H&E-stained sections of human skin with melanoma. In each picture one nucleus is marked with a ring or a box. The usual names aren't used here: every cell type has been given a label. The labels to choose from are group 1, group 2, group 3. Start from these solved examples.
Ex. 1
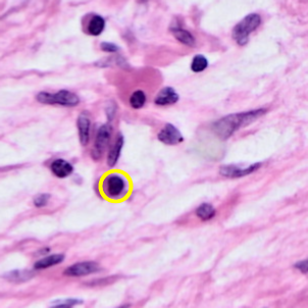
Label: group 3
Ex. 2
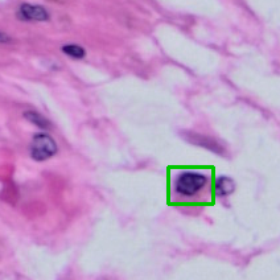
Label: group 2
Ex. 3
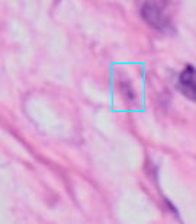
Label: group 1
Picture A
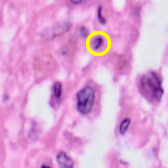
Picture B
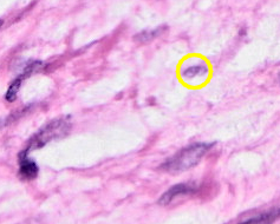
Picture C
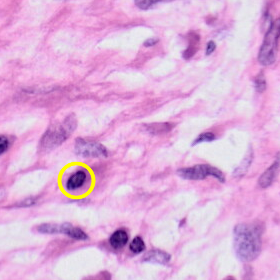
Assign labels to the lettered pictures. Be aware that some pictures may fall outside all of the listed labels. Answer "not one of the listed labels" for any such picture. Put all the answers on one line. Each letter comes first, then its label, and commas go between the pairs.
A group 2, B group 1, C group 3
